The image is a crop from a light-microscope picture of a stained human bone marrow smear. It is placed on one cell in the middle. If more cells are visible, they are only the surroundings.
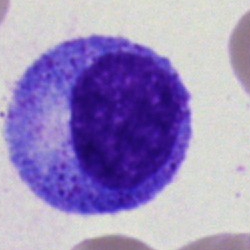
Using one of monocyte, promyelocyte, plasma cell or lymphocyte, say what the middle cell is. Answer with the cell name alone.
promyelocyte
